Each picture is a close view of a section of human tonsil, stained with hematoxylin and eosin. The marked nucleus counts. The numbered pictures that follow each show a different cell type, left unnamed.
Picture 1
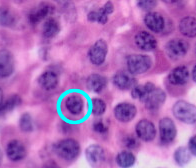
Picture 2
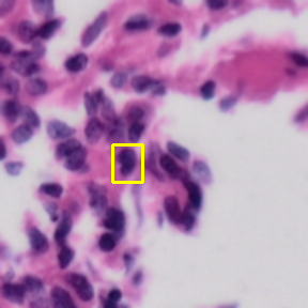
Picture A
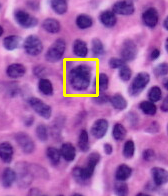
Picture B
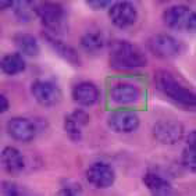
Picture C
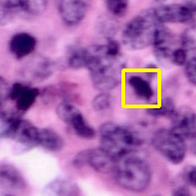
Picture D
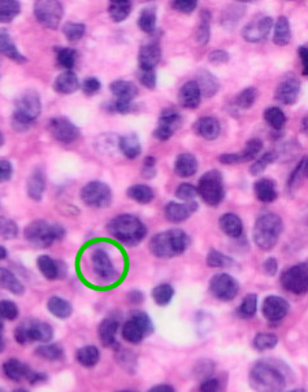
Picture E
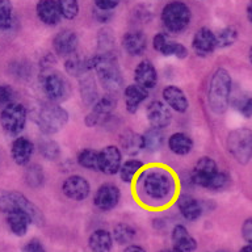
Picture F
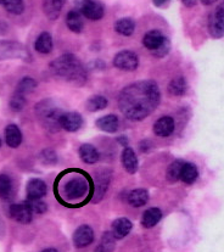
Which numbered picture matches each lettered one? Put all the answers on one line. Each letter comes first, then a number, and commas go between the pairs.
A 2, B 1, C 2, D 2, E 1, F 1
